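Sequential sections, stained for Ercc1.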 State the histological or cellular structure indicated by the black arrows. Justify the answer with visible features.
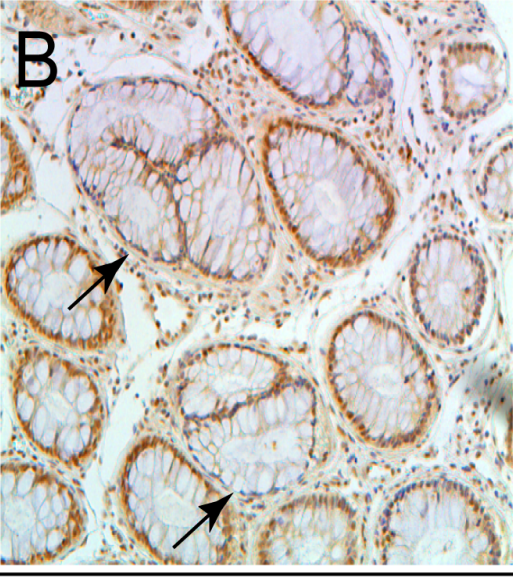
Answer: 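The arrows point to large crypts with a branching central epithelial septum. The marked crypts are paler than the neighbouring round crypts. That points to this answer: fissioning crypts.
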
